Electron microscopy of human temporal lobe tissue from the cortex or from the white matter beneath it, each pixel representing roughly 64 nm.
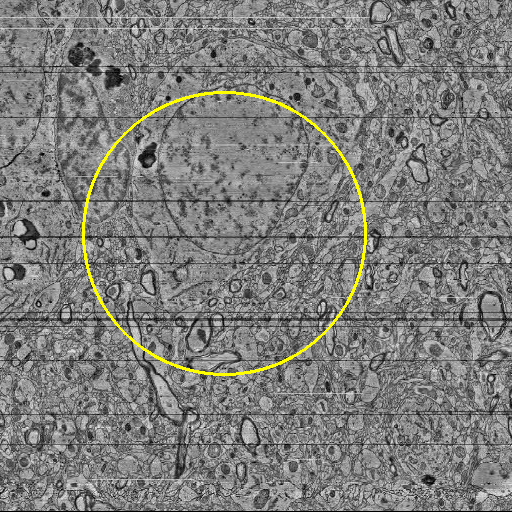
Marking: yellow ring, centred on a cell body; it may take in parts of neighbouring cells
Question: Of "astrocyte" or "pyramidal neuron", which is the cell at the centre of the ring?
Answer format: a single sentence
The ring surrounds the body of a pyramidal neuron.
